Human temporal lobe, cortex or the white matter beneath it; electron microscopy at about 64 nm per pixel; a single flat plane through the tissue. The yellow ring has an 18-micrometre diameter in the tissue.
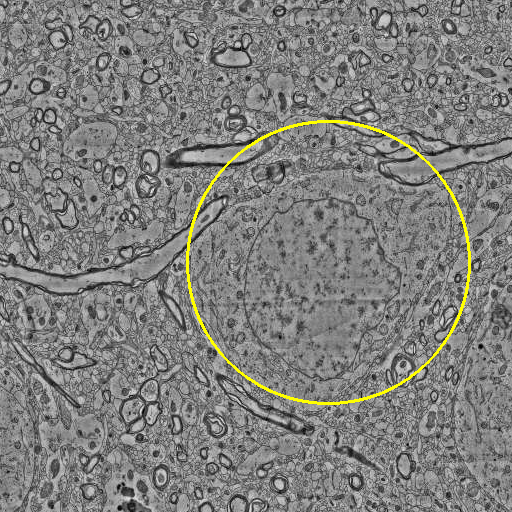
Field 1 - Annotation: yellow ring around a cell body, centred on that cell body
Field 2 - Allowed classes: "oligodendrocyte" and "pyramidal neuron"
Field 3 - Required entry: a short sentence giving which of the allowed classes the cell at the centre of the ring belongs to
The centred cell is a pyramidal neuron.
